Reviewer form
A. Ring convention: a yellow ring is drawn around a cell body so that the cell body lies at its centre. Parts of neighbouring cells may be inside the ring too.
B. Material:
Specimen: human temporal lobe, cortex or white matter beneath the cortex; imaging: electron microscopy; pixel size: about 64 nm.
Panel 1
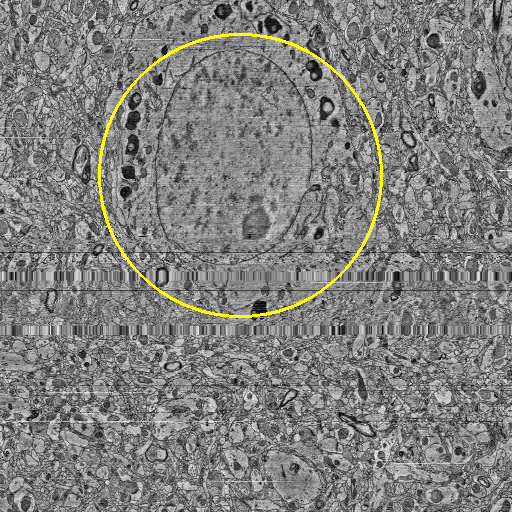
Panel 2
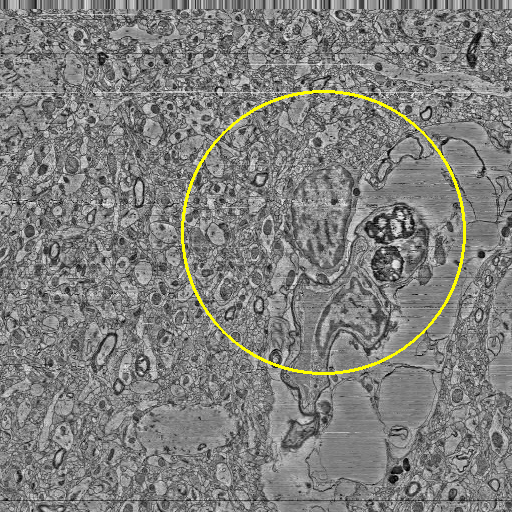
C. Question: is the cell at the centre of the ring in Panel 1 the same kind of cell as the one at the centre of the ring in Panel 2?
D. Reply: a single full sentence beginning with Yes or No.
No, the cells in Panel 1 and Panel 2 are two kinds of cell.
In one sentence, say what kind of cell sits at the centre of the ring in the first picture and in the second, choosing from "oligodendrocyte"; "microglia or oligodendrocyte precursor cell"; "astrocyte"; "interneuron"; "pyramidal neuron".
The first picture's ringed cell is a pyramidal neuron, while the second picture's is an oligodendrocyte.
